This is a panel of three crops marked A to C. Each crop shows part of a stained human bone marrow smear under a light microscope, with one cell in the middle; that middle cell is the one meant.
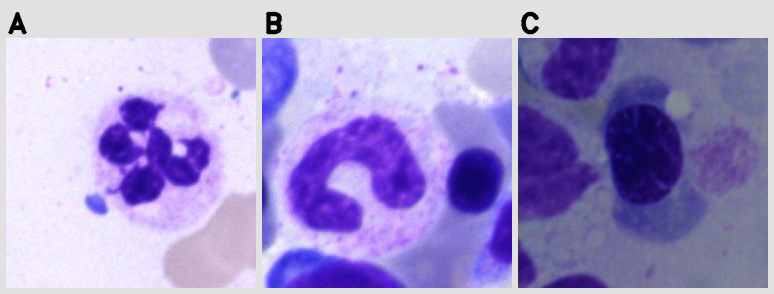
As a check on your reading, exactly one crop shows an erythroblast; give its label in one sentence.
Crop C, and no other, is the one that shows an erythroblast.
